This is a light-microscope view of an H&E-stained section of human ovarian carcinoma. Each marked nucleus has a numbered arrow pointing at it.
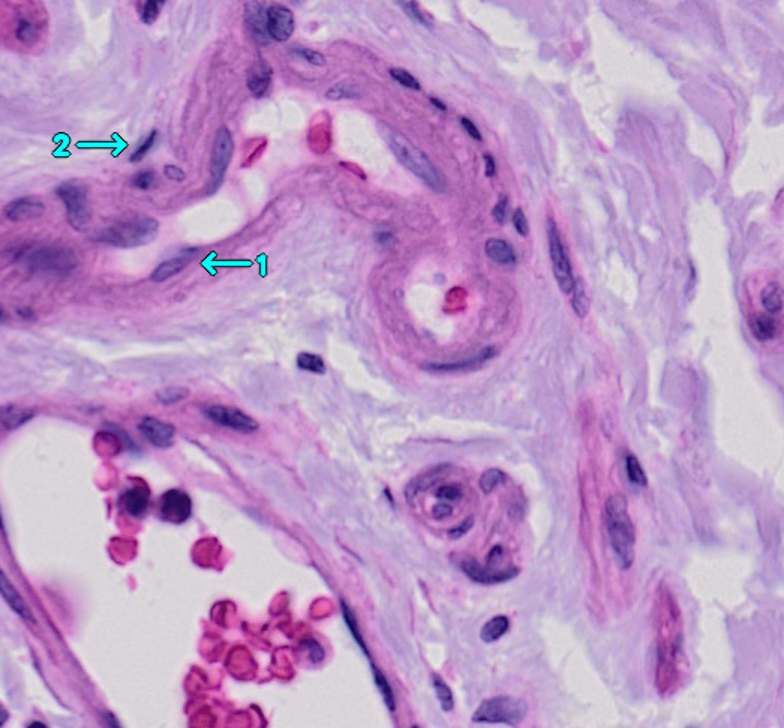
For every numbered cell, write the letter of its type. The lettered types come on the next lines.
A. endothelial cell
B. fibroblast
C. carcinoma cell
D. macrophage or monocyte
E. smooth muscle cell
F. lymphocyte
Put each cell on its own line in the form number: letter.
1: A
2: B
